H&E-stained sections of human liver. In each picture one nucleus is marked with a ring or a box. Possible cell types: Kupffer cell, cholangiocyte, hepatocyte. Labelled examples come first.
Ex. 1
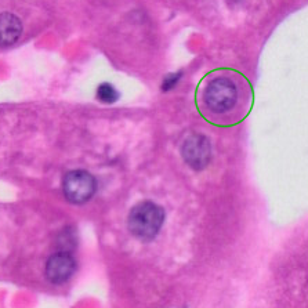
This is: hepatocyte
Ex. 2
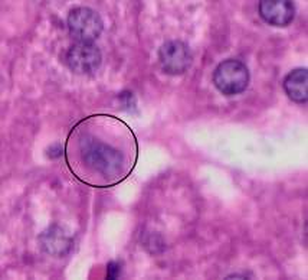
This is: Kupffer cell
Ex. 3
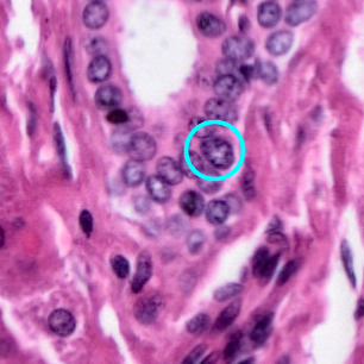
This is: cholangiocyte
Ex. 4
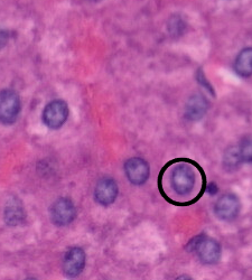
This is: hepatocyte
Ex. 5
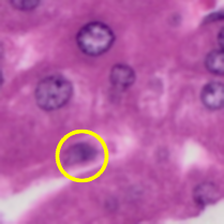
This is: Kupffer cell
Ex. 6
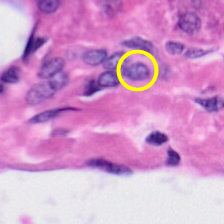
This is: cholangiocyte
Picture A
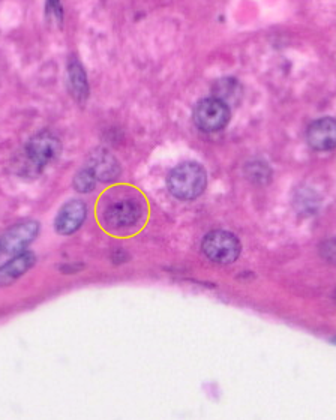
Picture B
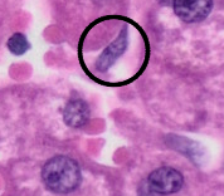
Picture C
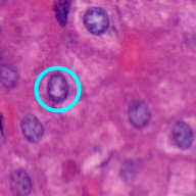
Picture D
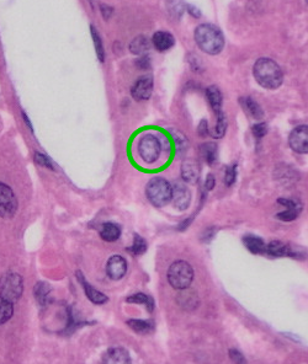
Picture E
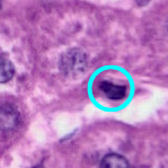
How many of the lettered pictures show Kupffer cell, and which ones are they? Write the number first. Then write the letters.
2, namely B, E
